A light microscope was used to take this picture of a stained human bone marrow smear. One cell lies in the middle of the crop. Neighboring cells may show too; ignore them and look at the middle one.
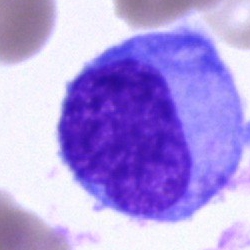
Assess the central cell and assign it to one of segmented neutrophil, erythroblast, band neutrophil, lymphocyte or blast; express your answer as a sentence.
The cell of interest, in the center, is a blast.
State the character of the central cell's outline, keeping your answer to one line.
The membrane contour is even and smooth, with nothing projecting from it.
